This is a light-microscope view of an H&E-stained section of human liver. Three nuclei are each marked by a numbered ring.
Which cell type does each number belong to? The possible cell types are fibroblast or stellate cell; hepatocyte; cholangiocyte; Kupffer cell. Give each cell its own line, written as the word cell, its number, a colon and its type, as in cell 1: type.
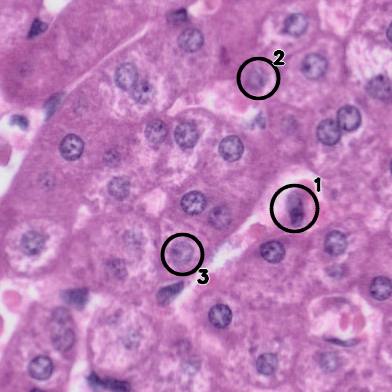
cell 1: Kupffer cell
cell 2: hepatocyte
cell 3: hepatocyte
